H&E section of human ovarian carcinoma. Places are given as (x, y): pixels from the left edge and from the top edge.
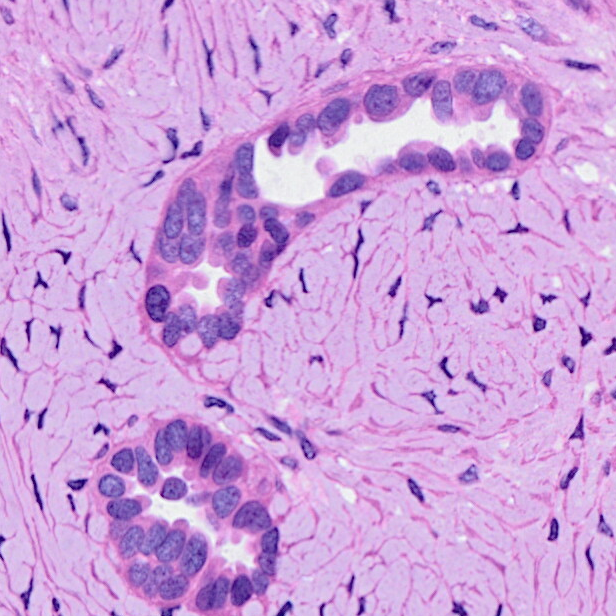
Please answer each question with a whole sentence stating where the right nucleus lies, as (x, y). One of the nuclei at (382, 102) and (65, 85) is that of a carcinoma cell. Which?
Lying within a carcinoma cell is the nucleus at (382, 102).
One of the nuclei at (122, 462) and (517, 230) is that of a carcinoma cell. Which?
The nucleus at (122, 462) is part of a carcinoma cell, while the other is not.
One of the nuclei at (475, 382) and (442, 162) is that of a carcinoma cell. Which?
The nucleus at (442, 162) is part of a carcinoma cell, while the other is not.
